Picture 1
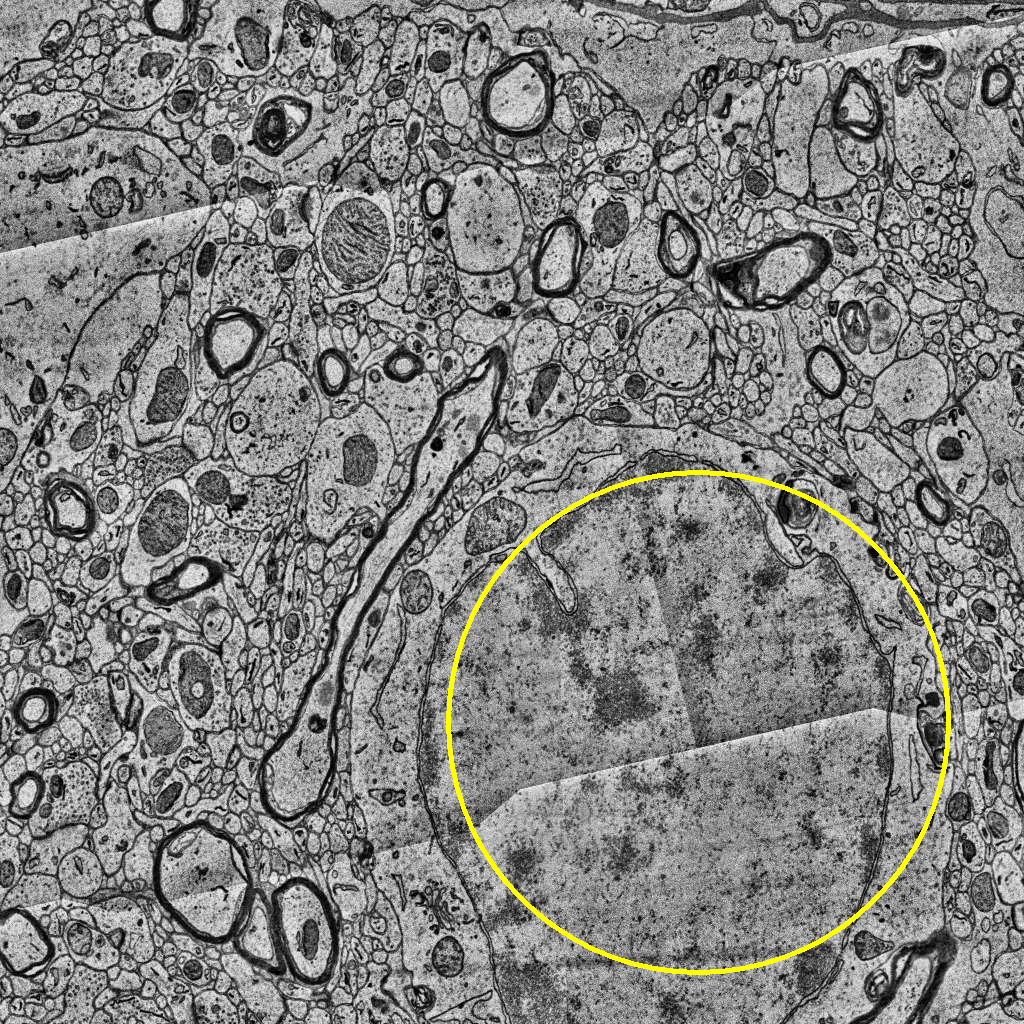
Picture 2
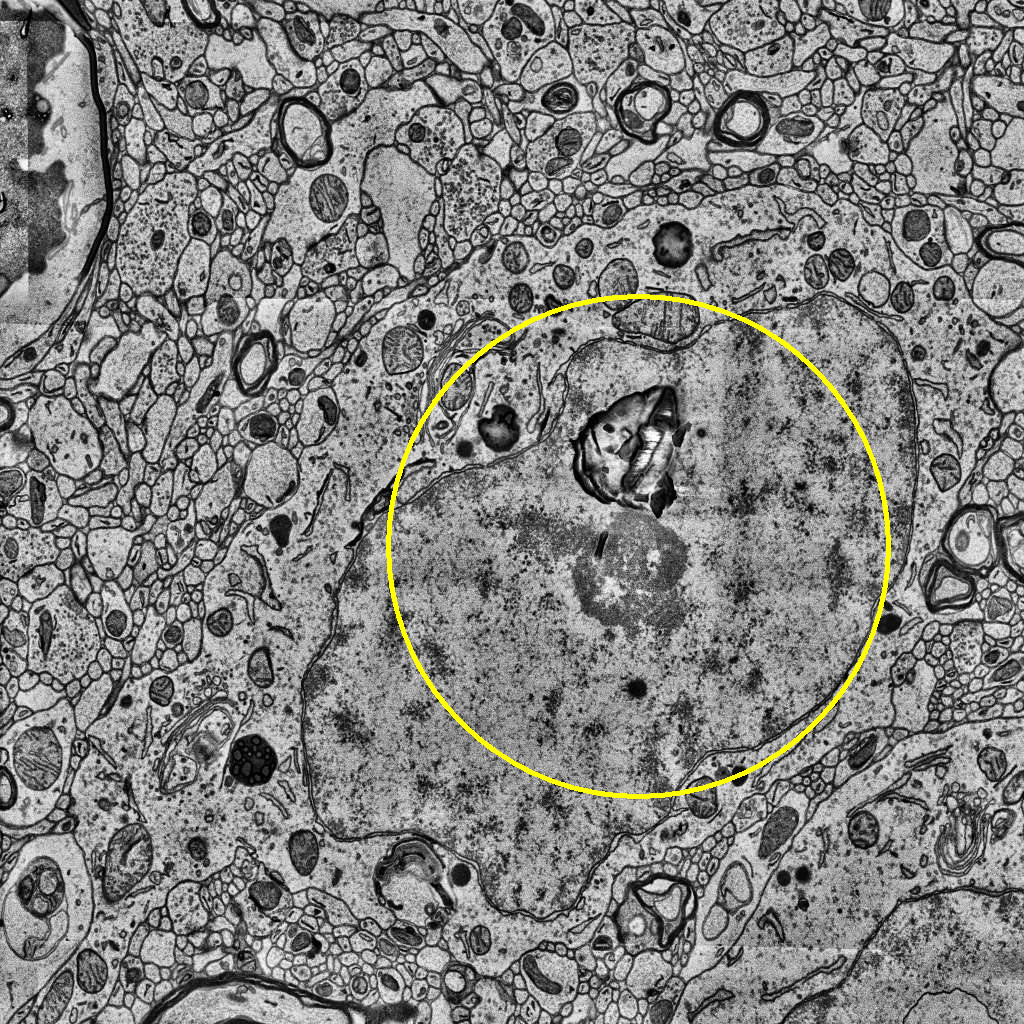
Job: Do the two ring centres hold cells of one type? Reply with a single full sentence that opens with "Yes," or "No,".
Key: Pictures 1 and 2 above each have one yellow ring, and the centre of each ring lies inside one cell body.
Yes, the cells at the two ring centres are of one single type.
